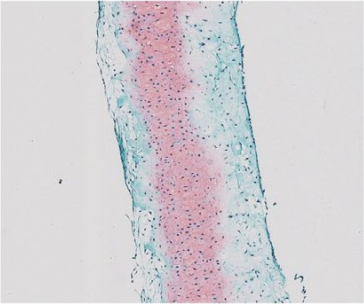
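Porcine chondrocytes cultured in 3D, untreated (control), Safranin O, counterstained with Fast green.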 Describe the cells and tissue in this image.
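Only a central strip is stained red. In that strip the rounded cells with dark nuclei lie in the matrix. Along both sides the tissue is stained blue-green instead, looks looser and more fibrous, and holds sparser, flatter cells.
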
